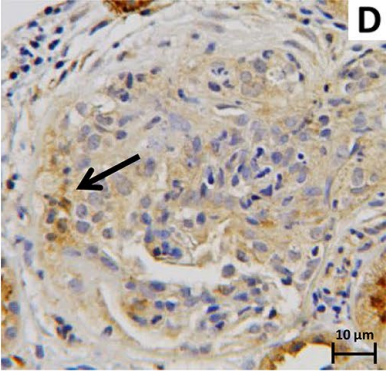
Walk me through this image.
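This is a glomerulus in a kidney section, a rounded tuft of capillary loops full of small blue nuclei, enclosed by a thin capsule. Along the left inner edge of the capsule lies a row of enlarged lining cells whose cytoplasm takes up a granular brown stain. The tuft itself is pale with only faint brown tinge, and the surrounding tubules at the corners also show brown staining. A narrow pale space separates parts of the tuft from the capsule.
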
